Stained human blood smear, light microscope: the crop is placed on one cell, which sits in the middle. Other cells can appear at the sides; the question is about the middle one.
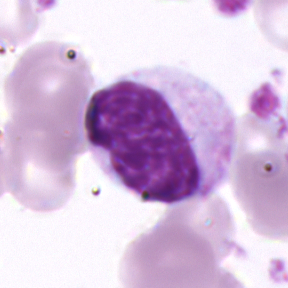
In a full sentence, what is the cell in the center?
The central cell shown in this smear crop is a metamyelocyte.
